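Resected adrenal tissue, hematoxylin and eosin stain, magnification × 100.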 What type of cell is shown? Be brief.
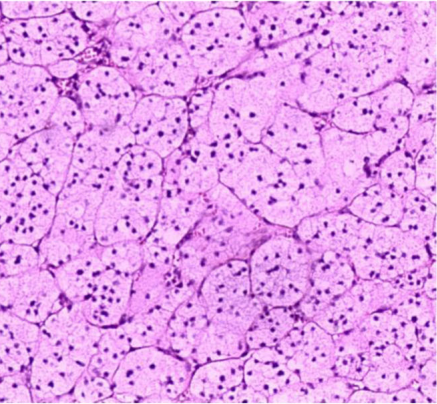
Large cortical cells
